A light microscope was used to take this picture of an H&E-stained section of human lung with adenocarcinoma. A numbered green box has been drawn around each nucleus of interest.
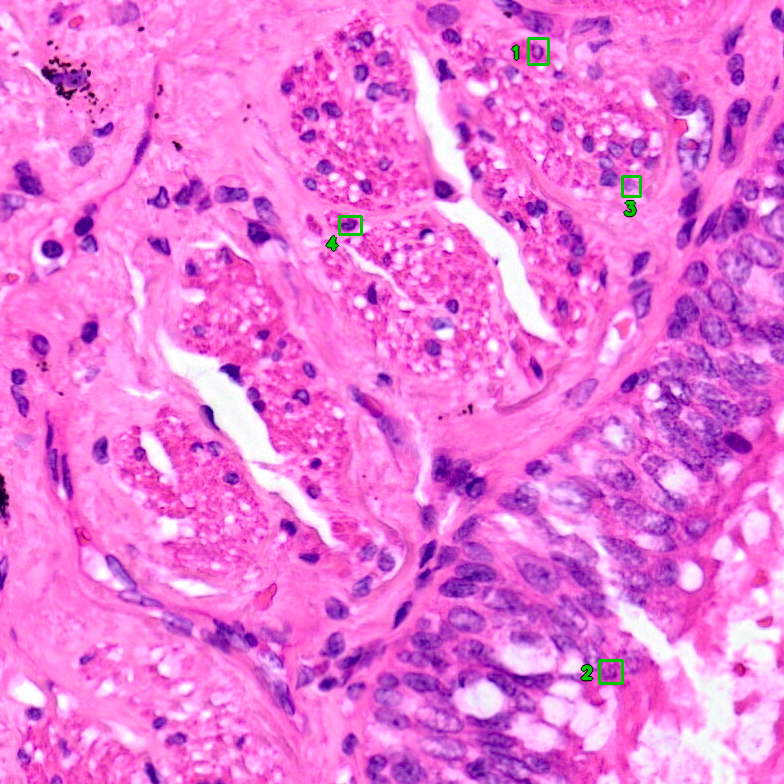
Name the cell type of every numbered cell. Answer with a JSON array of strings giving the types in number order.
["smooth muscle cell or pericyte", "ciliated epithelial cell", "smooth muscle cell or pericyte", "smooth muscle cell or pericyte"]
